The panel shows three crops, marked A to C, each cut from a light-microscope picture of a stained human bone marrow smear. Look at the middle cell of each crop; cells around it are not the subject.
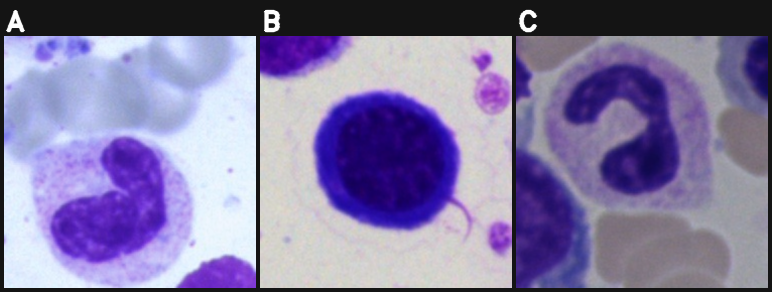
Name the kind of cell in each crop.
A: band neutrophil
B: normoblast
C: segmented neutrophil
